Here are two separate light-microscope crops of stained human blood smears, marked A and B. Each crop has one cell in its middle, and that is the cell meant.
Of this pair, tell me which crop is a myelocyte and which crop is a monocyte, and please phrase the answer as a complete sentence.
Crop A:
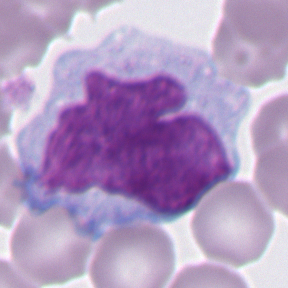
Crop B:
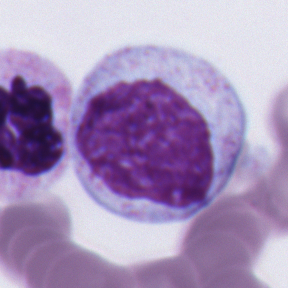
Here crop A is a monocyte, and crop B is a myelocyte.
